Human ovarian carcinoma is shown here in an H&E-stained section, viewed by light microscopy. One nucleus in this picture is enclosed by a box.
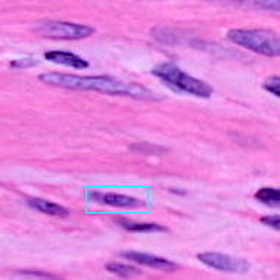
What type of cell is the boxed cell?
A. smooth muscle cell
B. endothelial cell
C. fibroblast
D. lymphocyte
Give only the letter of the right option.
A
